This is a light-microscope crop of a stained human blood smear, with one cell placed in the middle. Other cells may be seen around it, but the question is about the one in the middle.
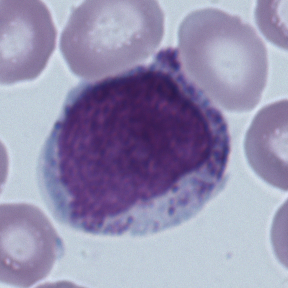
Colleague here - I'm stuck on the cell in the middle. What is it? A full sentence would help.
This particular crop is centered on a promyelocyte.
